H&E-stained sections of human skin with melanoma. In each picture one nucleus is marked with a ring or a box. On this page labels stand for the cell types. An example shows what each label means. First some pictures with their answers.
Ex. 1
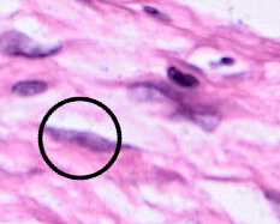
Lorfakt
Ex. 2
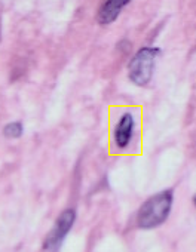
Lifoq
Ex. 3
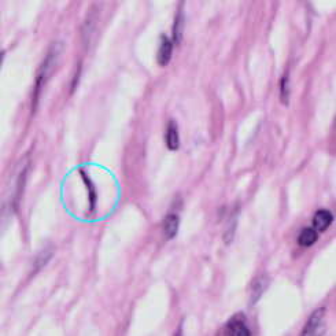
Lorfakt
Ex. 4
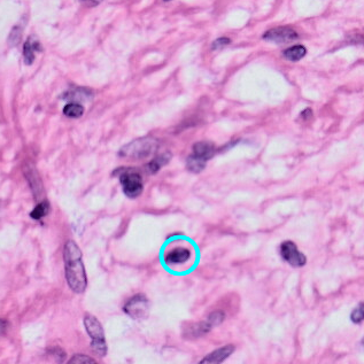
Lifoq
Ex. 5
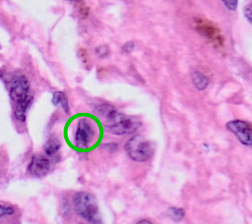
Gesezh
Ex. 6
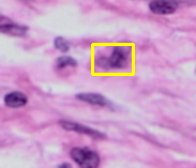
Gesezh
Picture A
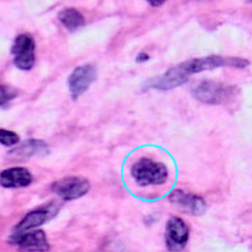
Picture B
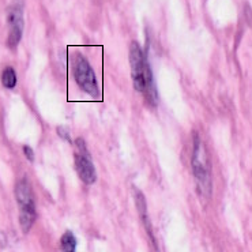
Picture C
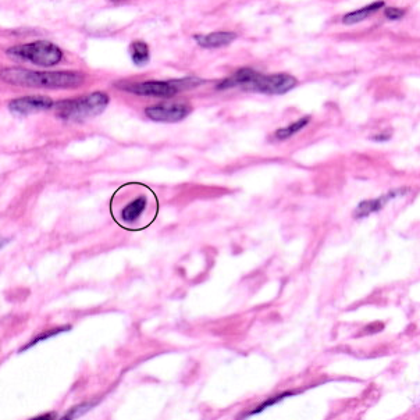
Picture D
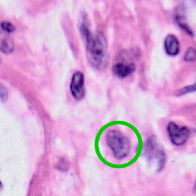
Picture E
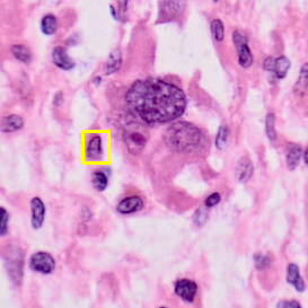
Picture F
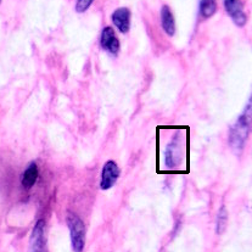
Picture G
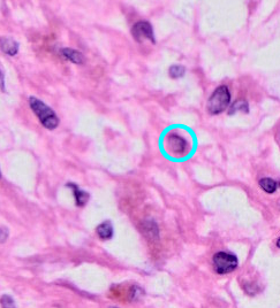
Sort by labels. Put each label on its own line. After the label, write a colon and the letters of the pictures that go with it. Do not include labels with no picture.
Lorfakt: F
Lifoq: A, C
Gesezh: B, D, E, G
